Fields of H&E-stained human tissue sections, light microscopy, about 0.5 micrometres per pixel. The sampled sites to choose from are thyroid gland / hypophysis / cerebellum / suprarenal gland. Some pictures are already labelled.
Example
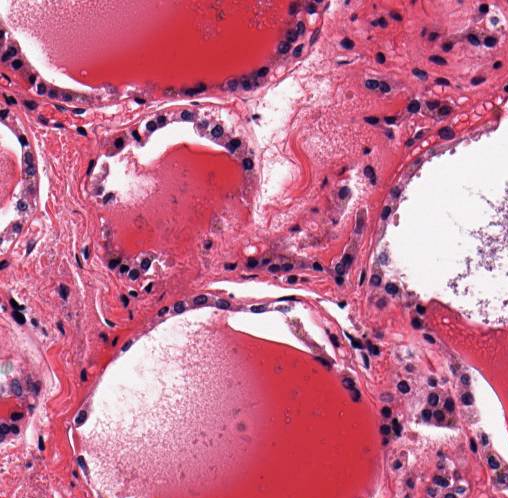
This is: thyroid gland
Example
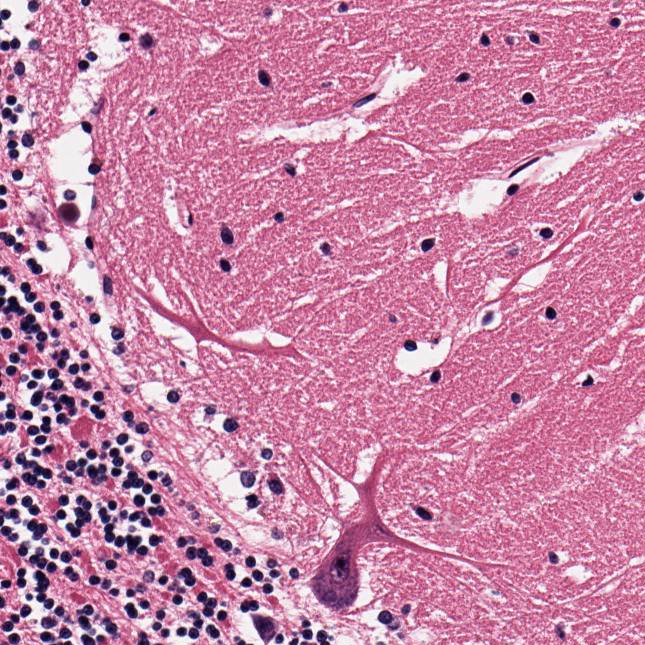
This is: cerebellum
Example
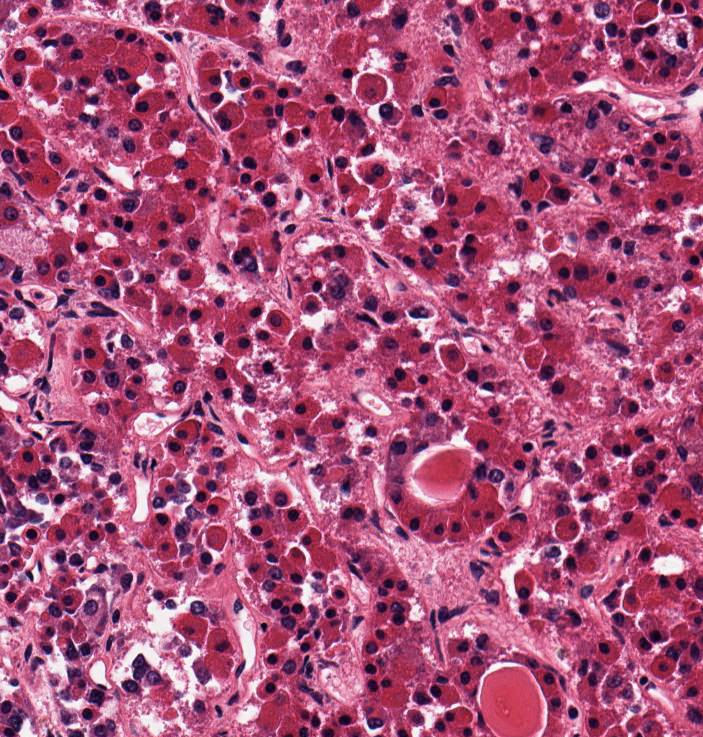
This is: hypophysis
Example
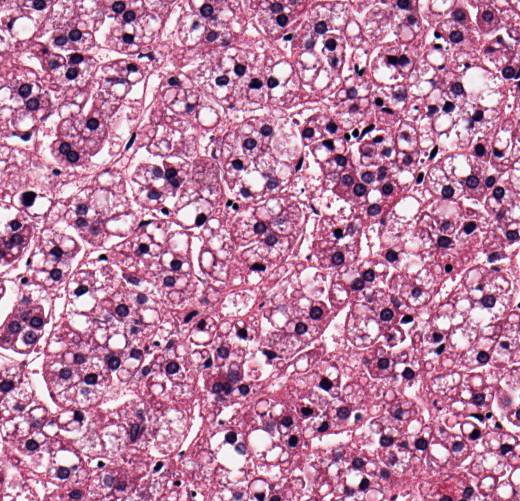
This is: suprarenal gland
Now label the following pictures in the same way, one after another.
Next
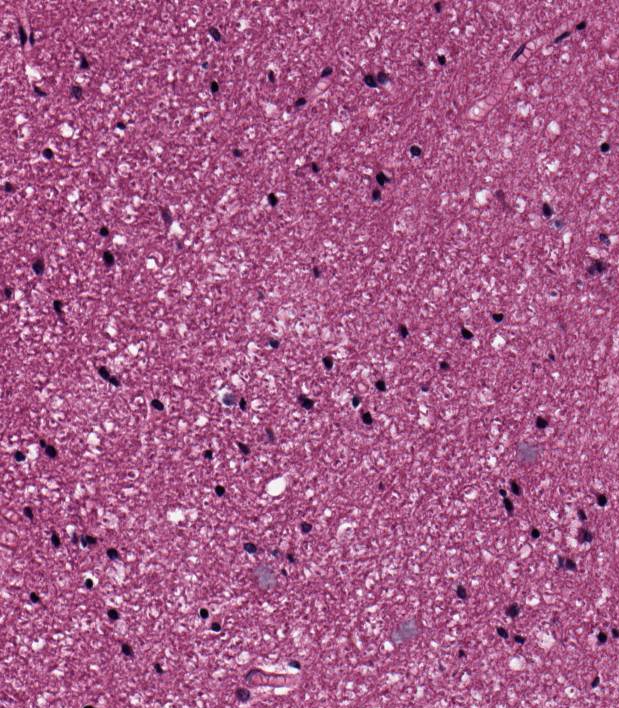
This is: cerebellum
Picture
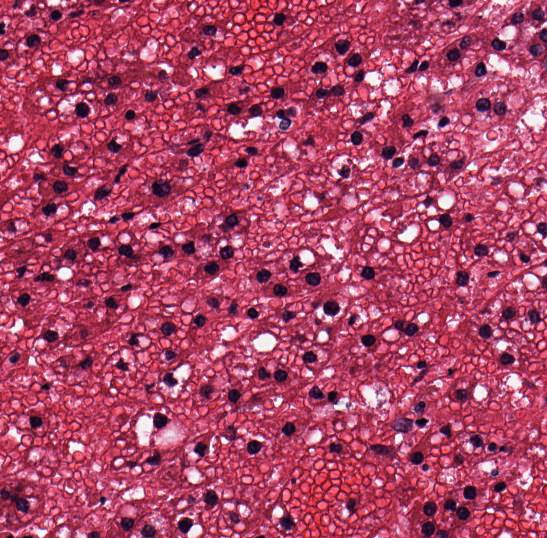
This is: suprarenal gland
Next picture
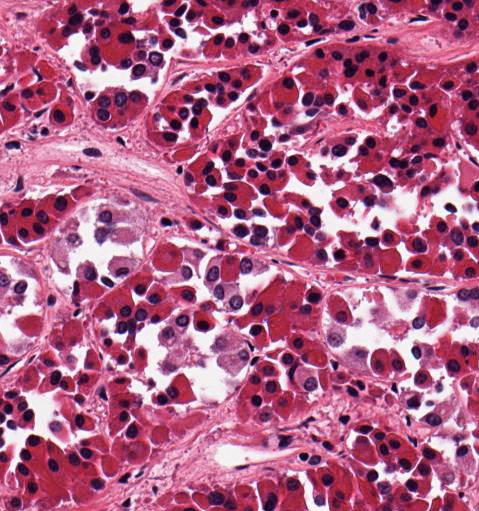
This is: hypophysis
